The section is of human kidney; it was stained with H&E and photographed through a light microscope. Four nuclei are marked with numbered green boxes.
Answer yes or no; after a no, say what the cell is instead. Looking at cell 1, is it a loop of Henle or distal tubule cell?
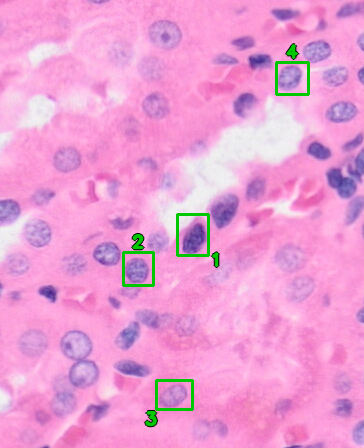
Yes.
